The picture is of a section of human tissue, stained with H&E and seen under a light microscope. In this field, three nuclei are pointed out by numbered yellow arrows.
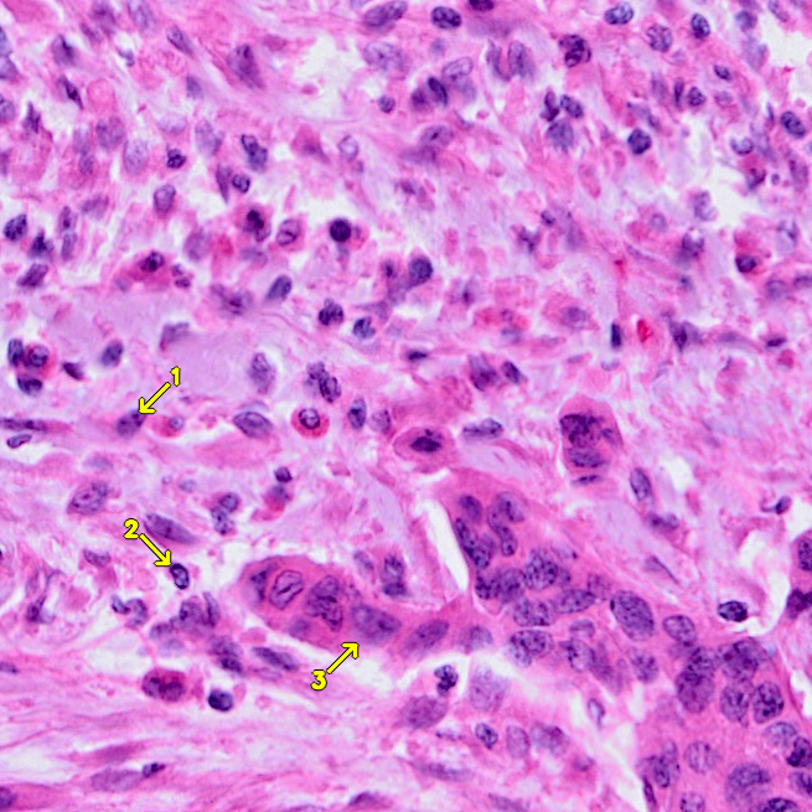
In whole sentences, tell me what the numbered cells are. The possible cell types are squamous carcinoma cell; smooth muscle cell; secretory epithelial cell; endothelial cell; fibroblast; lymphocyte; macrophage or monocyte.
Cell 1 is a macrophage or monocyte. Cell 2 is a lymphocyte. Cell 3 is a squamous carcinoma cell.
